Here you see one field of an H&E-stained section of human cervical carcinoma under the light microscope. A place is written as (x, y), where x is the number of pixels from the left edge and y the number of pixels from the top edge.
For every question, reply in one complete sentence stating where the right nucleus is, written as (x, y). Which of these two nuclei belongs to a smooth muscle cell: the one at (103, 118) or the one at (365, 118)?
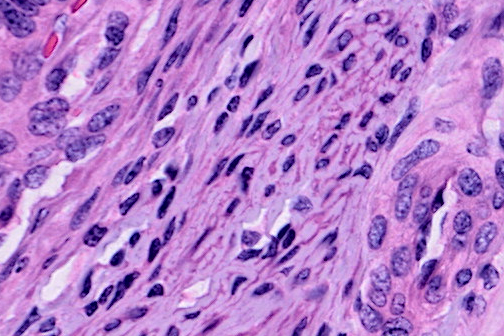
Between the two nuclei, the one sitting at (365, 118) belongs to a smooth muscle cell.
